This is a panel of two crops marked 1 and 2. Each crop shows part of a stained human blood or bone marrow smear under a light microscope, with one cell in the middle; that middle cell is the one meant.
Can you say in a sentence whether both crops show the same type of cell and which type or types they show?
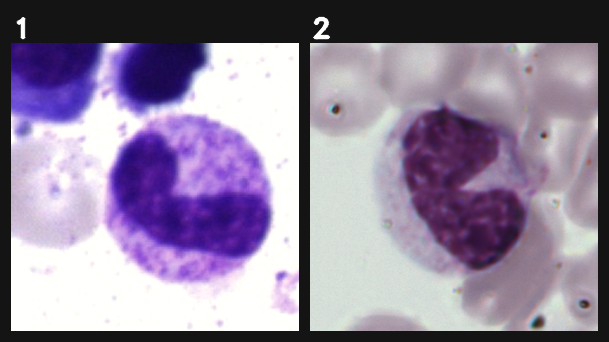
Yes, shown in both crops are band neutrophils.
